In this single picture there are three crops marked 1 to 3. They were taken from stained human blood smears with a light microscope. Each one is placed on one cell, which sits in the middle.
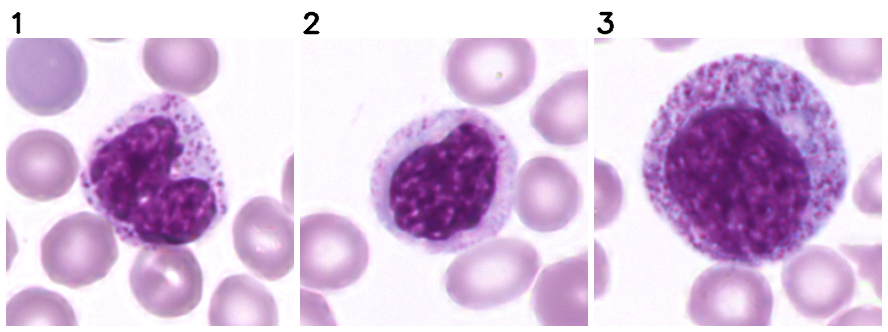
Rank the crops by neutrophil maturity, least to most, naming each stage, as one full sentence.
In order from least mature to most mature, the crops stand crop 3 (a promyelocyte), crop 2 (a metamyelocyte) and crop 1 (a band neutrophil).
